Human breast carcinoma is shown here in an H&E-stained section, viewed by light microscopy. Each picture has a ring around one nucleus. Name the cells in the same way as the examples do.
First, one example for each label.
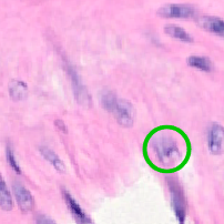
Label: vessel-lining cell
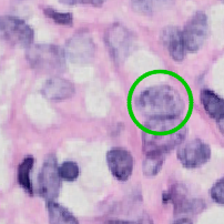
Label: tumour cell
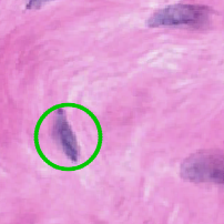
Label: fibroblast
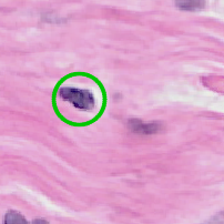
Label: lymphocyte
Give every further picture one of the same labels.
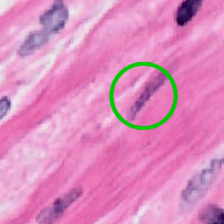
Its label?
fibroblast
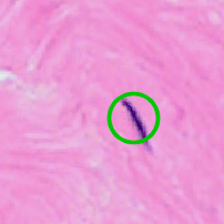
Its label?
fibroblast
